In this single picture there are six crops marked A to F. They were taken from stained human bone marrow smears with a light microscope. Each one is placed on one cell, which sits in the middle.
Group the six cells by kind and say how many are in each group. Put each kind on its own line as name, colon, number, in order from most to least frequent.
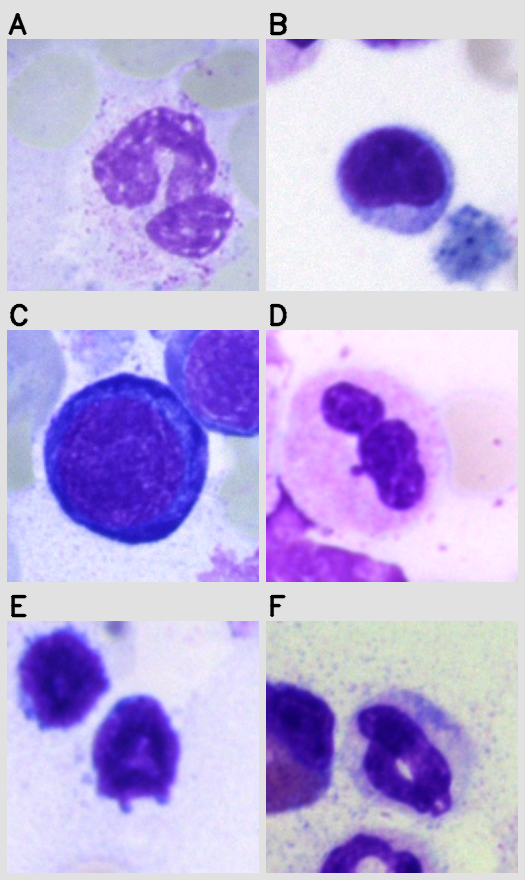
segmented neutrophil: 3
lymphocyte: 2
proerythroblast: 1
